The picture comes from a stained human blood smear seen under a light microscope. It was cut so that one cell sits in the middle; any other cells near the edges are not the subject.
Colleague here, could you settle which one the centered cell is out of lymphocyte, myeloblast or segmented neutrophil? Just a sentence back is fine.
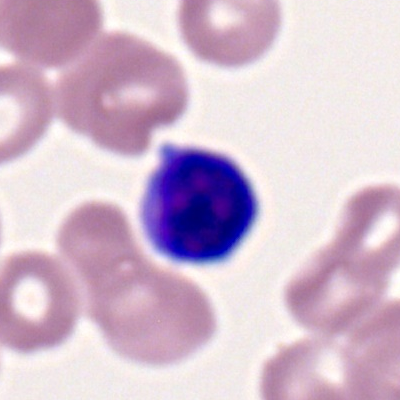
The cell that lies at the centre of the crop is a lymphocyte.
